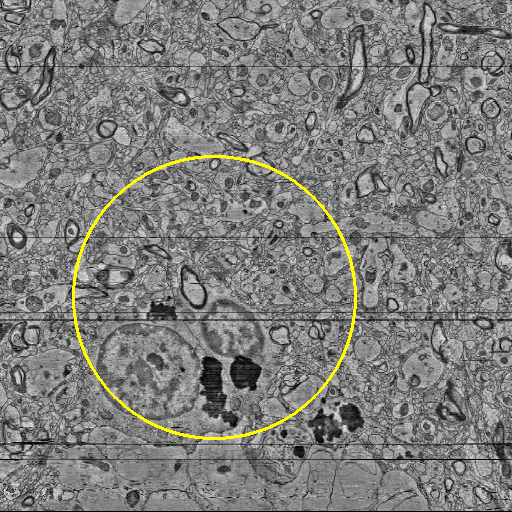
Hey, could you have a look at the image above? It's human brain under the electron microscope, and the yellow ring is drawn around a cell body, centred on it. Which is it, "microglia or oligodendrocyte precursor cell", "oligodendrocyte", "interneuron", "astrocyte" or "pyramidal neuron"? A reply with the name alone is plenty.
oligodendrocyte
